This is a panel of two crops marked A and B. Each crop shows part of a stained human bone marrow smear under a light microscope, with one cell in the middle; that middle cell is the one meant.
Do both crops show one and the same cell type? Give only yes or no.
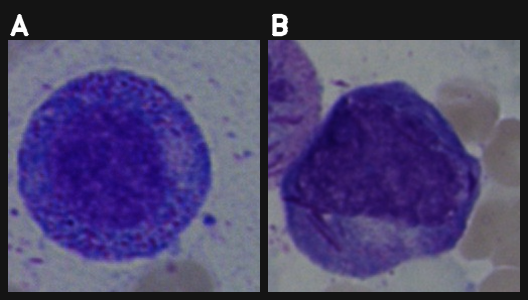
yes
